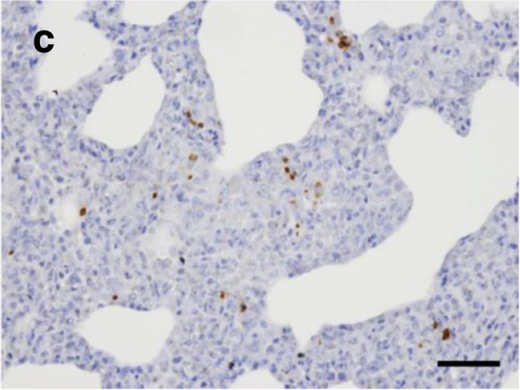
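This is lung tissue in which the alveolar walls are markedly thickened and packed with cells bearing blue, round to oval nuclei. The air spaces appear as irregular white areas that are narrowed by the broad, cellular septa. Small brown granular deposits are scattered here and there within the thickened walls, often in single cells or small clusters.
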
